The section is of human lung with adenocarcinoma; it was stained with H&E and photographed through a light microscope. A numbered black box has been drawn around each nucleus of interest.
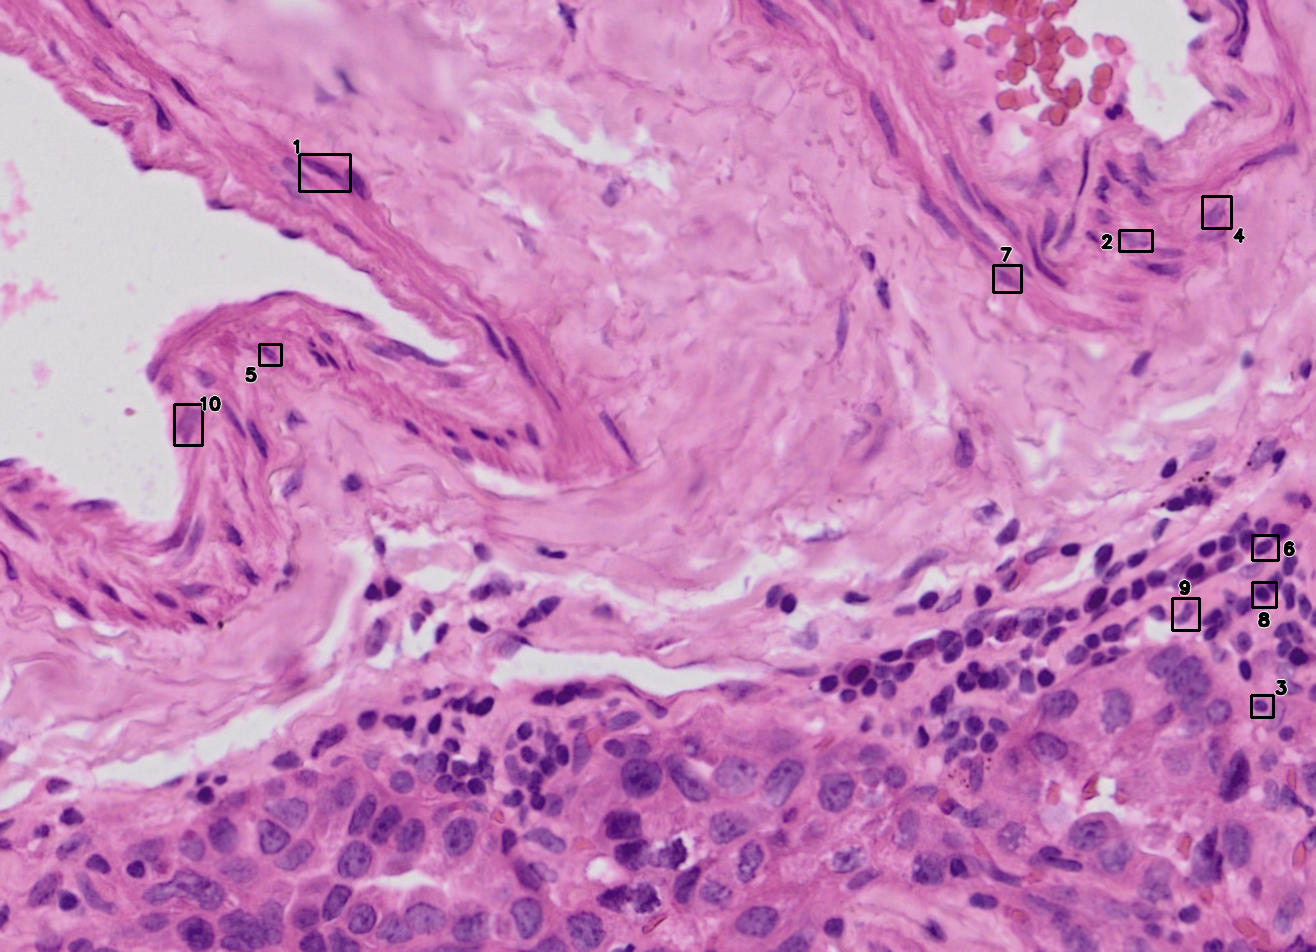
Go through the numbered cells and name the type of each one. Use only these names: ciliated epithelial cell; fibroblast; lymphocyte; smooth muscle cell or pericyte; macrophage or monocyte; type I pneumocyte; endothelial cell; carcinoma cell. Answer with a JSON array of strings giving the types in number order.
["smooth muscle cell or pericyte", "smooth muscle cell or pericyte", "lymphocyte", "smooth muscle cell or pericyte", "smooth muscle cell or pericyte", "lymphocyte", "smooth muscle cell or pericyte", "lymphocyte", "lymphocyte", "smooth muscle cell or pericyte"]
